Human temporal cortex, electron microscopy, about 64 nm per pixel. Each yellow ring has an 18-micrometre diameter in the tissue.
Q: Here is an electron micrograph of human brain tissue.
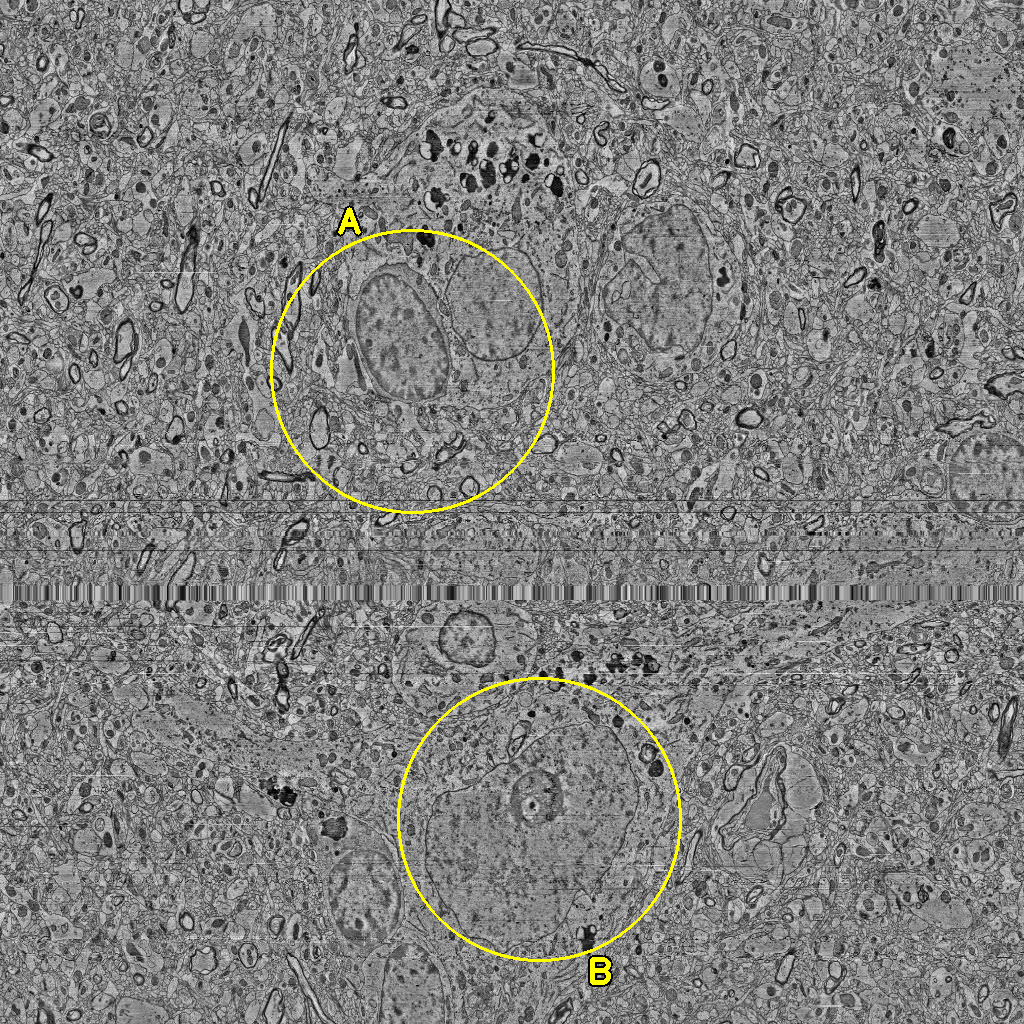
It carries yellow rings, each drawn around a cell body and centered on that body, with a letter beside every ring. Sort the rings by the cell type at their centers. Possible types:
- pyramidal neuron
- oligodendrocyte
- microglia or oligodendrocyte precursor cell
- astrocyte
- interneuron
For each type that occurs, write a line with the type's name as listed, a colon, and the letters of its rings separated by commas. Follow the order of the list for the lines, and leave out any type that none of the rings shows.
pyramidal neuron: B
oligodendrocyte: A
